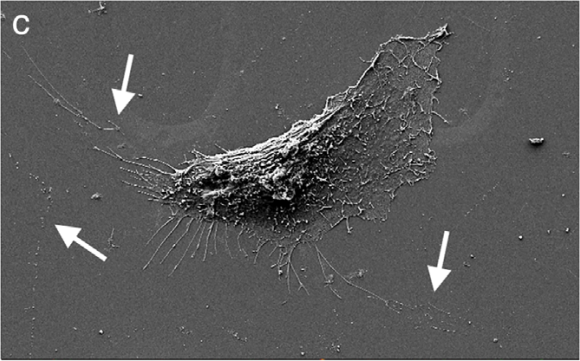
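A single flattened cultured cell lies spread on a smooth substrate, its raised central body bearing a textured, ridged surface. Many thin, straight projections radiate from its edges, especially along the lower and left margins, and some long fine threads trail far across the substrate. Small beads or particles lie scattered along these trailing threads, as if small vesicles were being shed from retraction fibres left behind by the cell.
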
